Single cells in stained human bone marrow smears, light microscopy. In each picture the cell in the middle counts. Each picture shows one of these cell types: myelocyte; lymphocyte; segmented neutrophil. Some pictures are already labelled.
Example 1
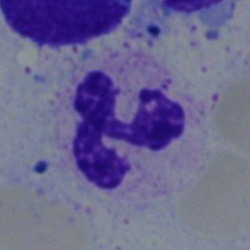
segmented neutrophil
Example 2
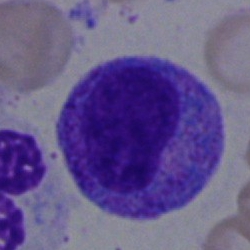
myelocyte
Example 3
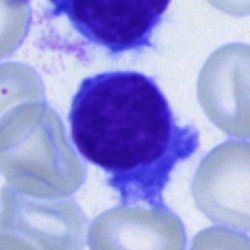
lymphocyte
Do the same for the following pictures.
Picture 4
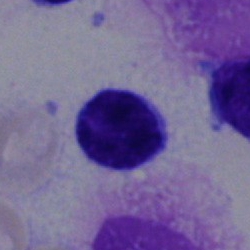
lymphocyte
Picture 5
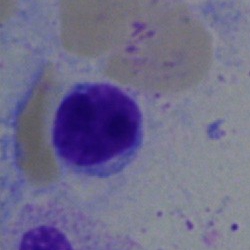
lymphocyte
